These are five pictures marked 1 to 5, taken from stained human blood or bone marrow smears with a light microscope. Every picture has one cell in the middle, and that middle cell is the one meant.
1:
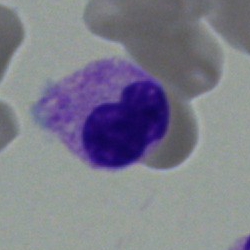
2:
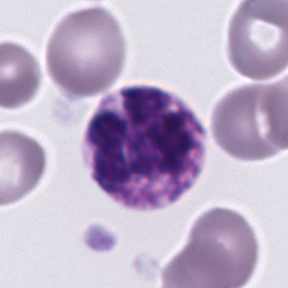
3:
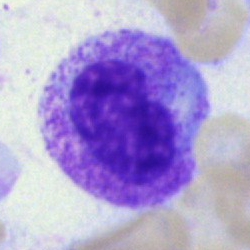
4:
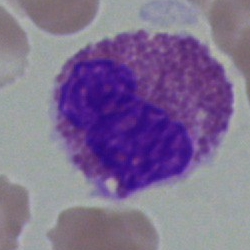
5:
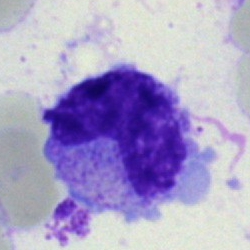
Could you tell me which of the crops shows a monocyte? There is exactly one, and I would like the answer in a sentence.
Crop 5 is the crop in which a monocyte is shown.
